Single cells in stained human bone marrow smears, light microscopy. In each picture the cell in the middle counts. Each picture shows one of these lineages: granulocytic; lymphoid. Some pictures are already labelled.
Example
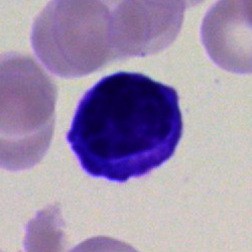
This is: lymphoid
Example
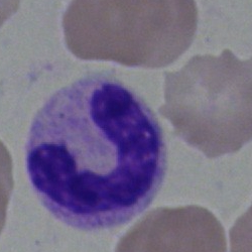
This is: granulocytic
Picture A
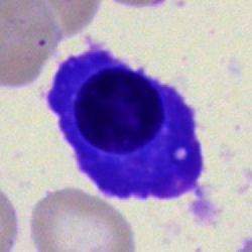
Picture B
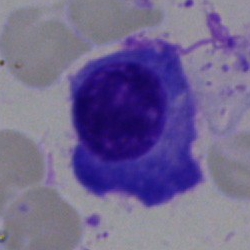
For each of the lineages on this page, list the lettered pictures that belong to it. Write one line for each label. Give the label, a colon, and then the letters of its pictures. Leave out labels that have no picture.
lymphoid: A, B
